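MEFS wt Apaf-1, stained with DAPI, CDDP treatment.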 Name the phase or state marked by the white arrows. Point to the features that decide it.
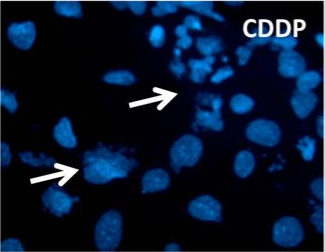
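Dying cells. The upper arrow points at a nucleus broken into many small blue fragments. The lower-left arrow points at an irregular, ragged nuclear mass unlike the smooth oval nuclei around it.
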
